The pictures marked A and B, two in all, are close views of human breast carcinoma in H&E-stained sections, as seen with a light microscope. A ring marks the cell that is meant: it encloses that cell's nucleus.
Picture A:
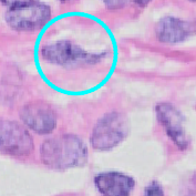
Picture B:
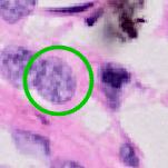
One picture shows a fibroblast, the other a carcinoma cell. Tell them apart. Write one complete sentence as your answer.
Picture A is of a fibroblast, and picture B is of a carcinoma cell.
